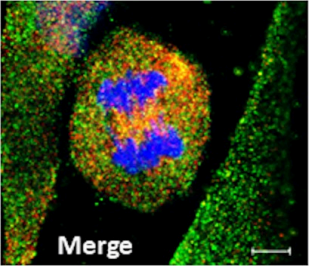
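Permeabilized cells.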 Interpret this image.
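Cultured cell in mitosis, rounded up among flattened neighbouring cells. Condensed blue chromatin forms two masses pulled apart to opposite sides of the cell's middle, the gap between them narrow. Red and green granular label fills the rounded cytoplasm, with orange to yellow where they overlap; red is richer around and between the chromatin masses. The neighbouring cells at the left and right edges show a fine, mostly green punctate label in their flat cytoplasm. Cell border of the dividing cell is smooth and oval.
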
